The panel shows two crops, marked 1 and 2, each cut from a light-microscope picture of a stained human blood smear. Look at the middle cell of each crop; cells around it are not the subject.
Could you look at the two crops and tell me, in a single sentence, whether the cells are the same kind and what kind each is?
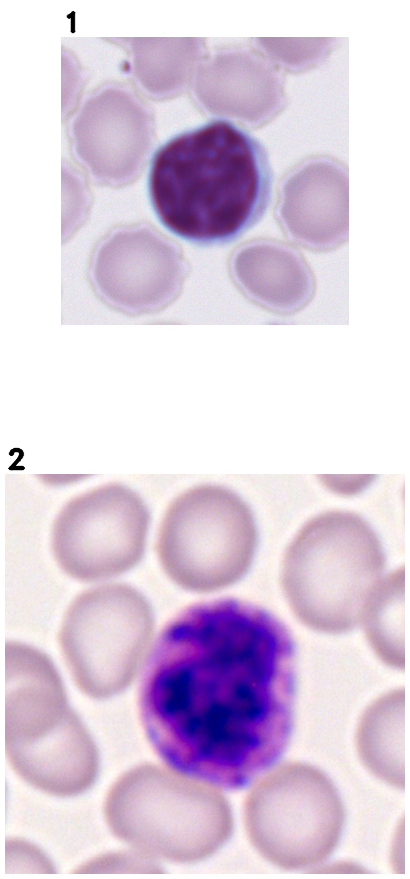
No, a lymphocyte is centred in crop 1, and a basophil is centred in crop 2.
